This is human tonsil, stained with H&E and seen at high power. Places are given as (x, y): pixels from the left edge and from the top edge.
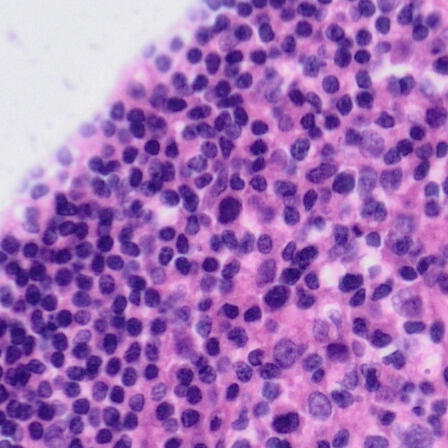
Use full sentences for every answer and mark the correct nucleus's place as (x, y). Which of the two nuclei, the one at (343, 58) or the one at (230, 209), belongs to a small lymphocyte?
Answering which nucleus it is: the one at (343, 58), belonging to a small lymphocyte.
